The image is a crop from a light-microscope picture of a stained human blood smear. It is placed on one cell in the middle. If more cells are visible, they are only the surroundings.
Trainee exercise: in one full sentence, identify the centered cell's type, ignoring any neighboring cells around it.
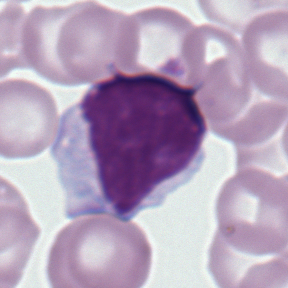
The centrally positioned cell in the crop represents a typical lymphocyte.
